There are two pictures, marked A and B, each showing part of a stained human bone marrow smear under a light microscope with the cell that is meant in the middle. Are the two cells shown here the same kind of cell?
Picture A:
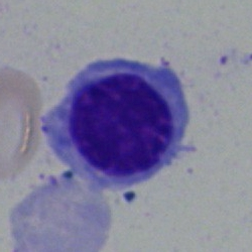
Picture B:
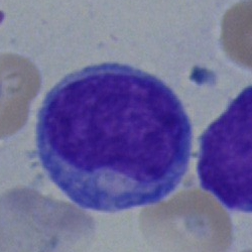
no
